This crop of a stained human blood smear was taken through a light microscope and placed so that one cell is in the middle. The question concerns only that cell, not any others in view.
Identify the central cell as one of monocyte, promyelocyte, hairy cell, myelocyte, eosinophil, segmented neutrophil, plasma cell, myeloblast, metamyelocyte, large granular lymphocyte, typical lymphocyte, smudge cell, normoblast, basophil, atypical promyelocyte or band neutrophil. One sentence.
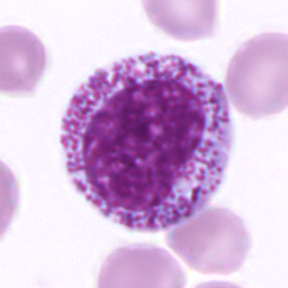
The centrally placed cell is classified as a myelocyte.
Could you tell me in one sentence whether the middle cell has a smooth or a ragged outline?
Expected answer: a smooth cell outline without projections of any sort.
